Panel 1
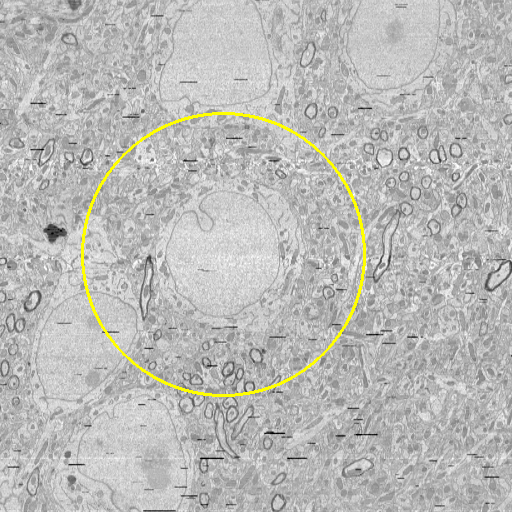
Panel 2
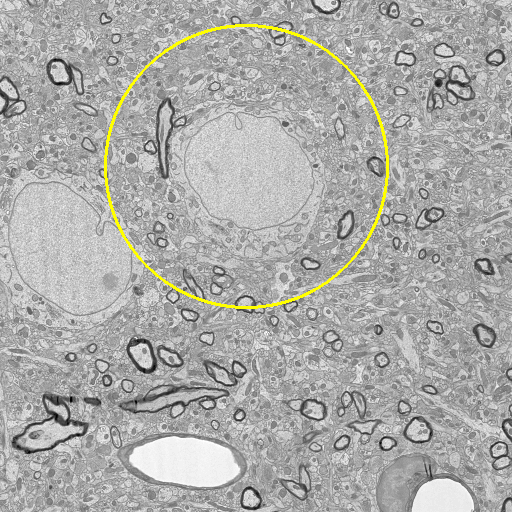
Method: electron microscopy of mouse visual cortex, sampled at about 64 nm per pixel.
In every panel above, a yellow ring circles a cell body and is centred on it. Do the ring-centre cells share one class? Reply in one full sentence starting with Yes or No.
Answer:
Yes, the two cells at the ring centres in the panels belong to one class.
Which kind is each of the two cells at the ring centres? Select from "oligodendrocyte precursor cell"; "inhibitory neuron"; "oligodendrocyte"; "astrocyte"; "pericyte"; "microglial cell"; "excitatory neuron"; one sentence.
In the first picture and in the second, the ring is centred on an excitatory neuron.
